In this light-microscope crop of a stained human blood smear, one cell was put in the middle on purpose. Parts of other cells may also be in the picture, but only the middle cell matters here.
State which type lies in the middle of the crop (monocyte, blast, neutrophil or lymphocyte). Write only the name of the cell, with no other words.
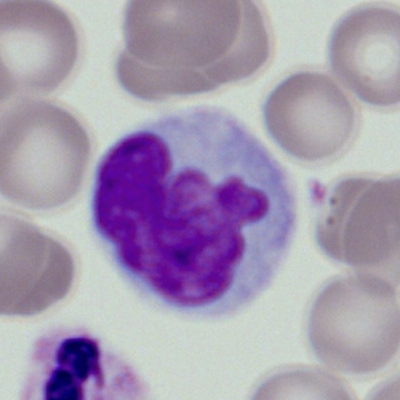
monocyte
